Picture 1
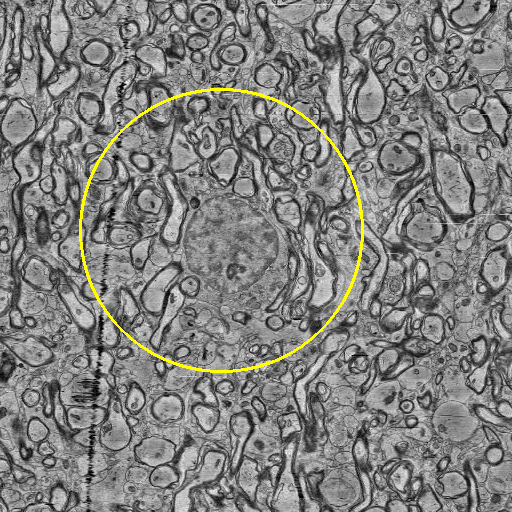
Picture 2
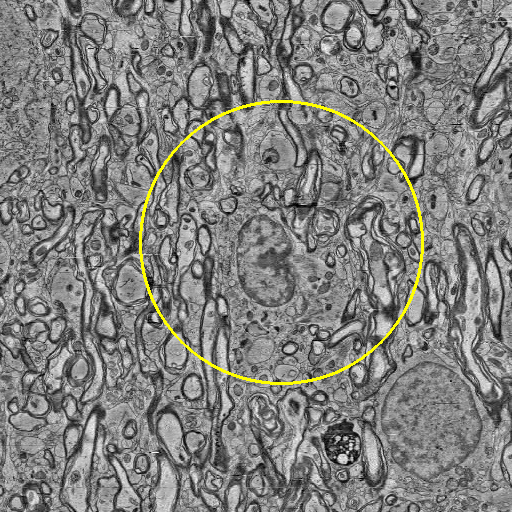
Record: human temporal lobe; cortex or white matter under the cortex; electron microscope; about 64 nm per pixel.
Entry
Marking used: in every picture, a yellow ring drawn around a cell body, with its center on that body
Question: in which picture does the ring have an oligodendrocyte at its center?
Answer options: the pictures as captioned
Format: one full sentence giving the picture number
Picture 1 is where the ring's center falls on the requested cell.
